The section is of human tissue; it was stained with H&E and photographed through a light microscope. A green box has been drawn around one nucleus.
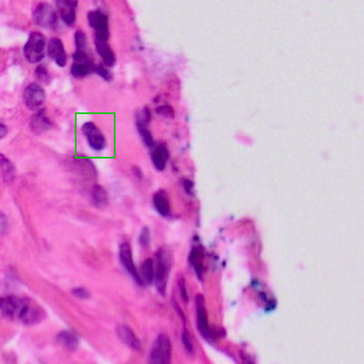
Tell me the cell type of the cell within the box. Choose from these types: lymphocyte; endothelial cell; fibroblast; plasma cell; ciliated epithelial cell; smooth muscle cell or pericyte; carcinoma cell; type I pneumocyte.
lymphocyte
